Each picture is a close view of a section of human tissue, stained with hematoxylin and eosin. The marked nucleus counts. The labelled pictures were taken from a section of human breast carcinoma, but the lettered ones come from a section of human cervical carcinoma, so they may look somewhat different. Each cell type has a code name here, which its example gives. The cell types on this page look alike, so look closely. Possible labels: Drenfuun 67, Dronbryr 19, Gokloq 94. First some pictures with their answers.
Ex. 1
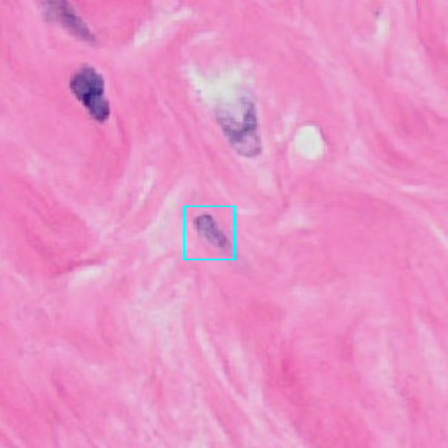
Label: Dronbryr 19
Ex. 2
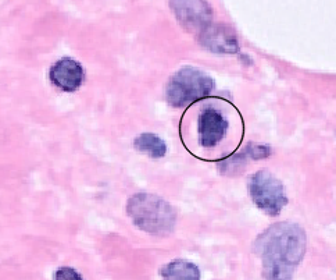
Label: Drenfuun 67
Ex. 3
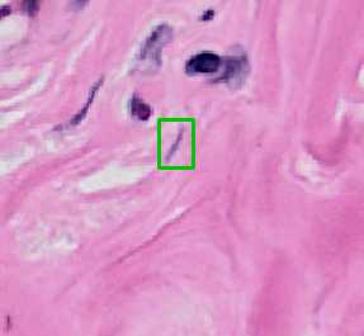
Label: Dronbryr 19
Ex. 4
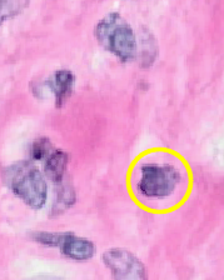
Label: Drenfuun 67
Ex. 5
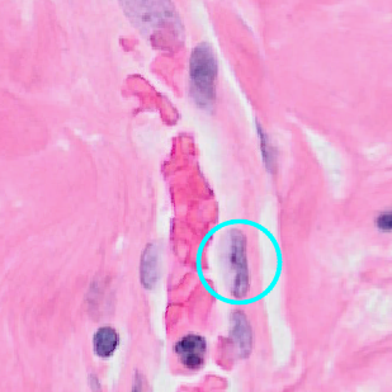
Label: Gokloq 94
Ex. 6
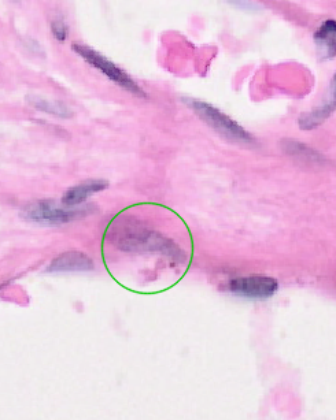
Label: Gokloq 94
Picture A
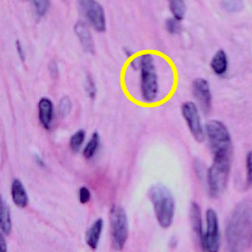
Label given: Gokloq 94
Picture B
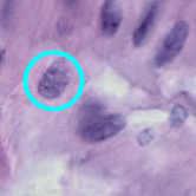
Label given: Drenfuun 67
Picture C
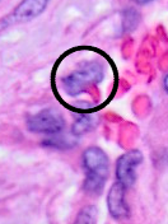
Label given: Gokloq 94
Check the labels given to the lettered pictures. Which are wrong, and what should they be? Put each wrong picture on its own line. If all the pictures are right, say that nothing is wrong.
A: change Gokloq 94 to Dronbryr 19
B: change Drenfuun 67 to Dronbryr 19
